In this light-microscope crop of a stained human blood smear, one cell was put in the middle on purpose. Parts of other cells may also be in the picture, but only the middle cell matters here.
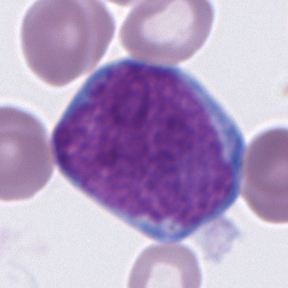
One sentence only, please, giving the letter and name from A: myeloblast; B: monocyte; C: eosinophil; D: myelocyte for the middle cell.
The correct option here is A; the middle cell is a myeloblast.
